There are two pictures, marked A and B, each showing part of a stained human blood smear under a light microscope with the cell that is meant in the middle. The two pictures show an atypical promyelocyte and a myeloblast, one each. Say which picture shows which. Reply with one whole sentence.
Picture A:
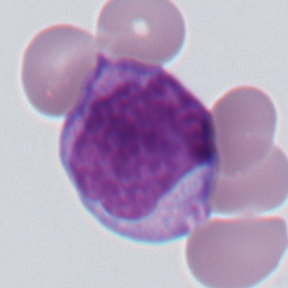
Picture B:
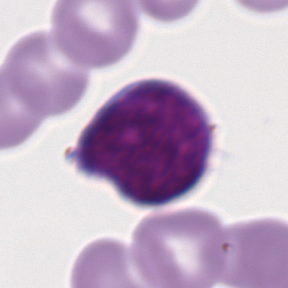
The cell in picture A is an atypical promyelocyte, and the one in picture B is a myeloblast.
